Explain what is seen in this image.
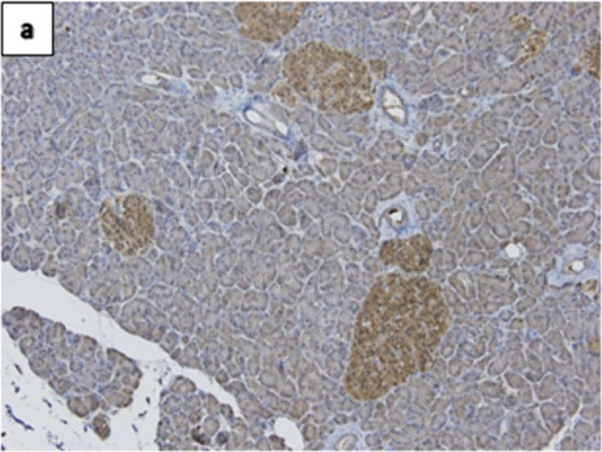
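This is pancreatic tissue with exocrine acini and several rounded clusters of endocrine tissue. The acinar cells form small rounded units packed into lobules, and their cytoplasm carries an even, light brown stain. The endocrine clusters are compact, round to oval, and stain a distinctly deeper brown than the surrounding acini. Between the lobules run thin strands of pale blue connective tissue holding small ducts and vessels. The staining is spread evenly through the cells rather than in spots.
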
